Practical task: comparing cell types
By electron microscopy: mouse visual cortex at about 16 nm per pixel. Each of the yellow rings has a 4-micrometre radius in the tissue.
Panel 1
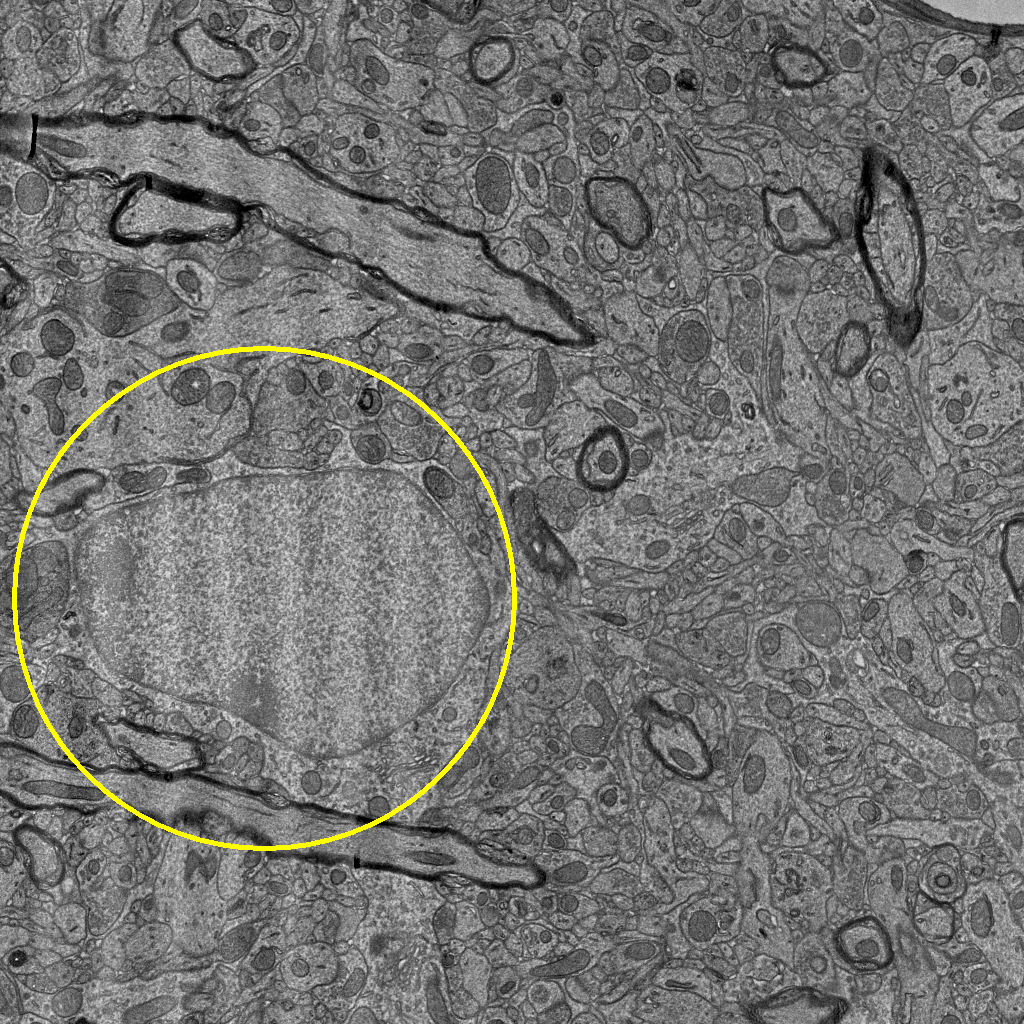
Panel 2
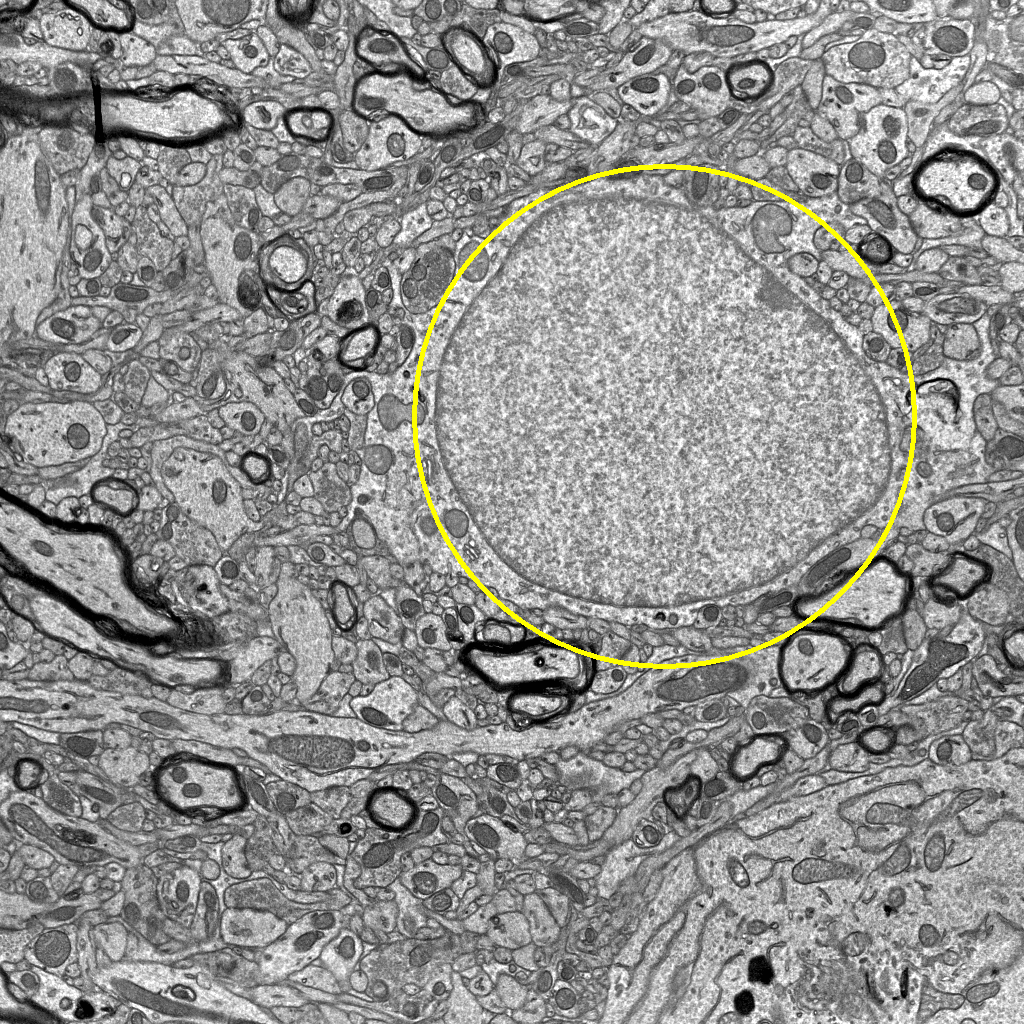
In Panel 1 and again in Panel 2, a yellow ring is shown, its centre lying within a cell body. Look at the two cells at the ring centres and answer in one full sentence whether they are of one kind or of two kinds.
The two cells sitting at the ring centres of Panels 1 and 2 are of one kind.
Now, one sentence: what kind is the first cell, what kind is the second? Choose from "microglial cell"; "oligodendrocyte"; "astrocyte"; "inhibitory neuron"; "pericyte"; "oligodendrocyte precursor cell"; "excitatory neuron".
The first and the second cell are each an astrocyte.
